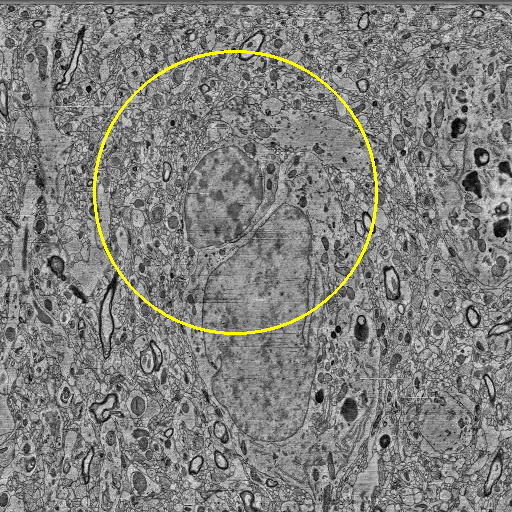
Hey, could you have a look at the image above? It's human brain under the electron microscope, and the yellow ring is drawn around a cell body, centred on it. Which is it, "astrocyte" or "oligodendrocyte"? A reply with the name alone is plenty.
oligodendrocyte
